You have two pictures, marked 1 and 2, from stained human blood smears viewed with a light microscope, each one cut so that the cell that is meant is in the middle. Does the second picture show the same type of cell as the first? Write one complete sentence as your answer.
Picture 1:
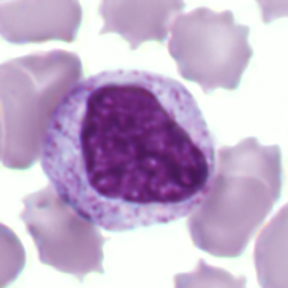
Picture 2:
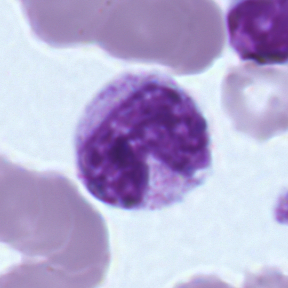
Yes, both cells are metamyelocytes.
